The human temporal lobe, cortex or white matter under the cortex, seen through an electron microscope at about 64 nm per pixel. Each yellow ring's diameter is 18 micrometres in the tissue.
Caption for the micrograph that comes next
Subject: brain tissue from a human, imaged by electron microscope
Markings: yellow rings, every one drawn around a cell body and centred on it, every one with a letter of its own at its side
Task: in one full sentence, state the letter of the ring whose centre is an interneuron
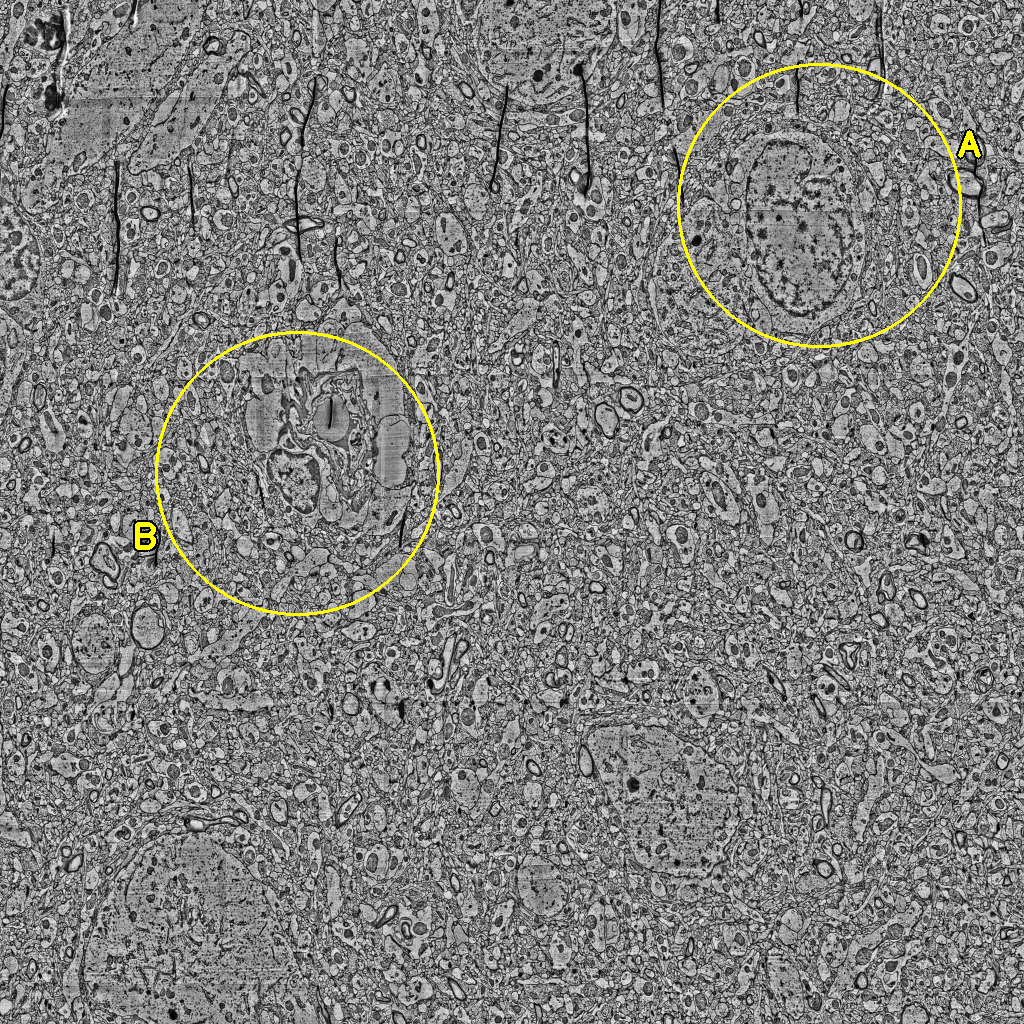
The ring centred on the cell asked for in this micrograph carries the letter A.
